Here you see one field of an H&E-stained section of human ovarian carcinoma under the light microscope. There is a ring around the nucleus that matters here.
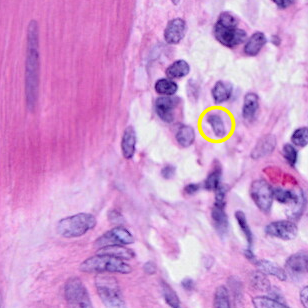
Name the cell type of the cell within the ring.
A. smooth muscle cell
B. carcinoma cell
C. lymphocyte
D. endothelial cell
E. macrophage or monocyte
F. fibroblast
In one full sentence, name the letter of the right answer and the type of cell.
Since the cell within the ring is a macrophage or monocyte, option E is correct.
